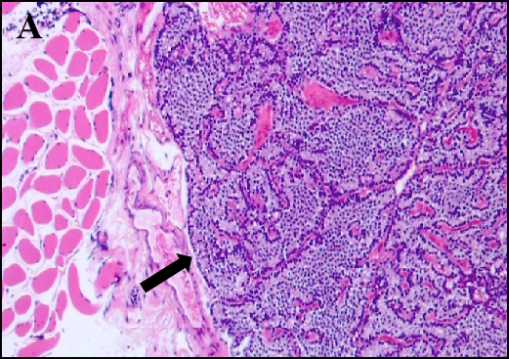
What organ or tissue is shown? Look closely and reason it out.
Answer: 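Striated muscle tissue. At the left lie pink polygonal fibres cut in cross-section. A cellular mass of small dark-nucleated cells lies beside them, separated by loose connective tissue.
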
